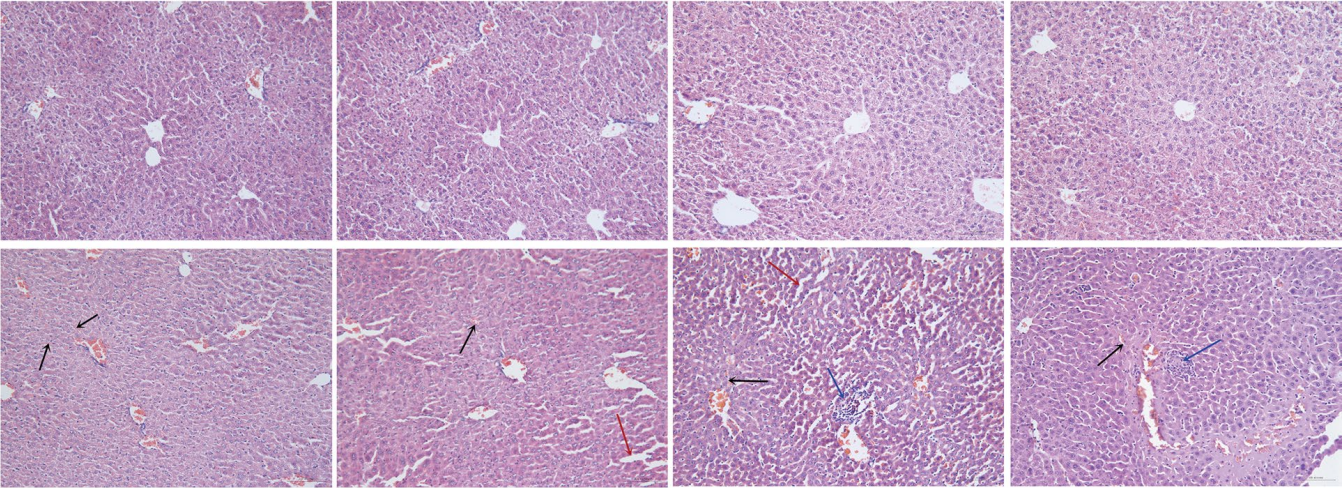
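This is liver tissue in which plates of hepatocytes run between vessels, seen in eight fields arranged in two rows. The hepatocytes are polygonal, with pink cytoplasm and round purple nuclei, and are separated by narrow sinusoids. Clear round or branching vessel lumina lie scattered through the parenchyma. In the lower row, many vessels and spaces are filled with bright red erythrocytes, and in some fields the spaces between the cell cords are widened and irregular. In the two right-hand fields of the lower row, dense clusters of small, dark nuclei lie in the tissue next to vessels.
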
